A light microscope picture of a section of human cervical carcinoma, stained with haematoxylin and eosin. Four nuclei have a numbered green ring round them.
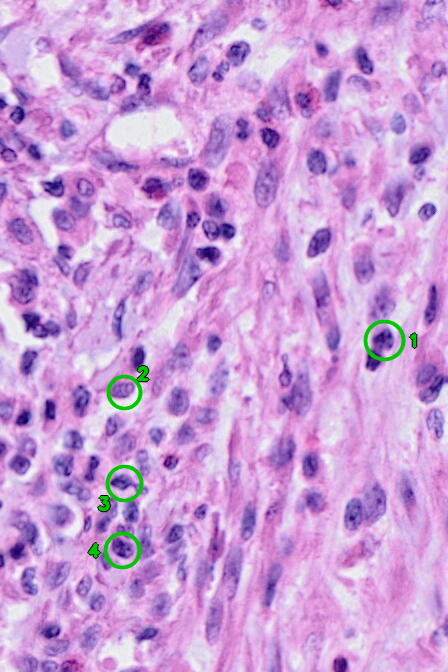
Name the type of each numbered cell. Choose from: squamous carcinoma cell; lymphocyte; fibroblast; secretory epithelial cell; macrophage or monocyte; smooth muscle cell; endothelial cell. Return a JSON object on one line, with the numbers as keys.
{"1": "lymphocyte", "2": "macrophage or monocyte", "3": "lymphocyte", "4": "lymphocyte"}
